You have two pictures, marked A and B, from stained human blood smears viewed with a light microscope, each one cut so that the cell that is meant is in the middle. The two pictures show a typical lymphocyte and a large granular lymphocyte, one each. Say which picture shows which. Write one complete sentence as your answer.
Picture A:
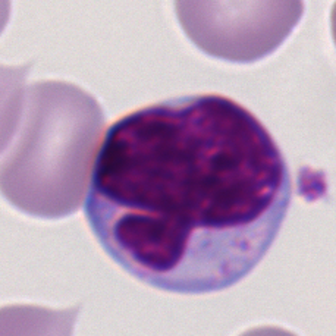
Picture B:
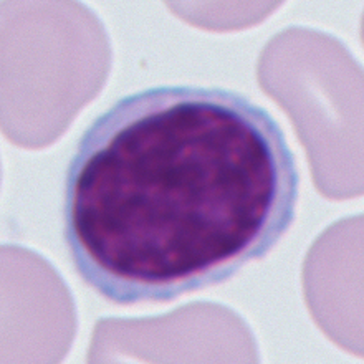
Picture A is of a large granular lymphocyte, and picture B is of a typical lymphocyte.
